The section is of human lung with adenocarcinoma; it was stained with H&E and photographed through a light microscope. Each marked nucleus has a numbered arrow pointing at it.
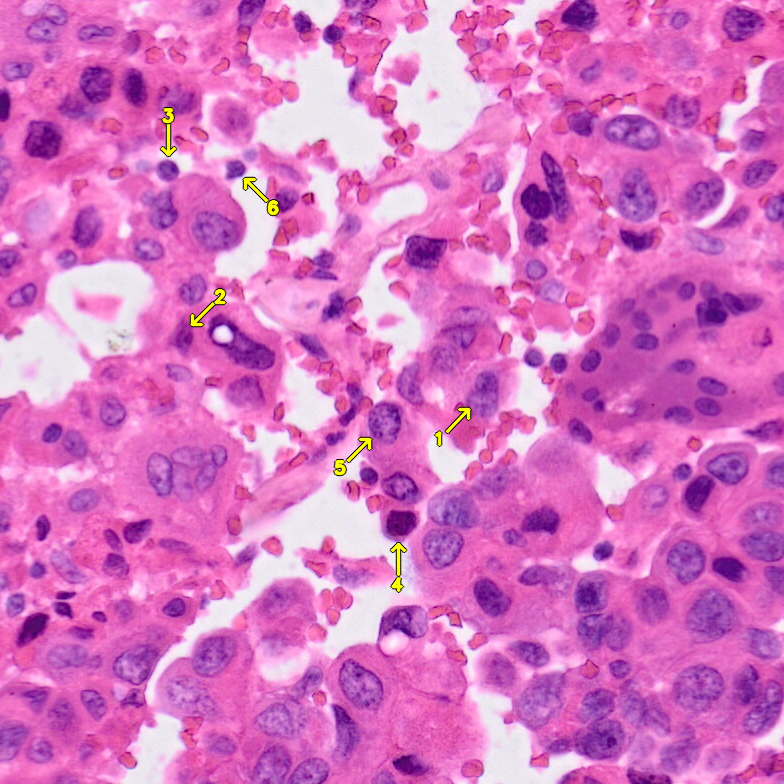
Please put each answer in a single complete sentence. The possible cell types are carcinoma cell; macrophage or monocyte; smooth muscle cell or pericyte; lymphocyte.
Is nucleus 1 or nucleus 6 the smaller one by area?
It is nucleus 6; nucleus 1 has about 3 times its area.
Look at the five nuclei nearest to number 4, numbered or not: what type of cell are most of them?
Carcinoma cells make up most of the five nuclei closest to number 4.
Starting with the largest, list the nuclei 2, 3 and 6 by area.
By area, largest first, they run 2, 3, 6.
